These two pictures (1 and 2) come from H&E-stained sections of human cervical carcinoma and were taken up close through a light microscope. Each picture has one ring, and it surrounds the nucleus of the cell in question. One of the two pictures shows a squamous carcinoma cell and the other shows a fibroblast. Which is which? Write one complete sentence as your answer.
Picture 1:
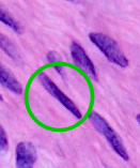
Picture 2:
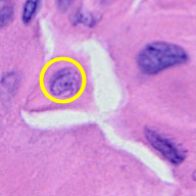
Picture 2 shows a squamous carcinoma cell, while picture 1 shows a fibroblast.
